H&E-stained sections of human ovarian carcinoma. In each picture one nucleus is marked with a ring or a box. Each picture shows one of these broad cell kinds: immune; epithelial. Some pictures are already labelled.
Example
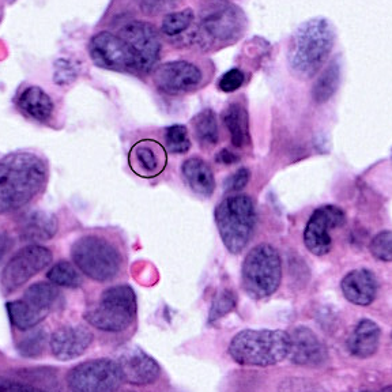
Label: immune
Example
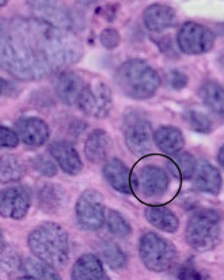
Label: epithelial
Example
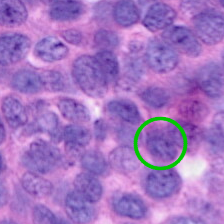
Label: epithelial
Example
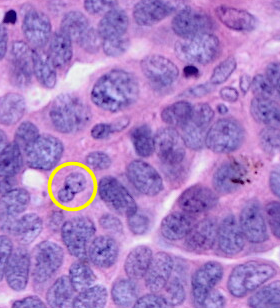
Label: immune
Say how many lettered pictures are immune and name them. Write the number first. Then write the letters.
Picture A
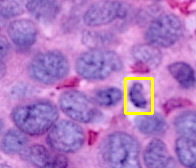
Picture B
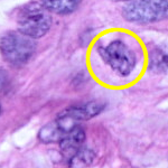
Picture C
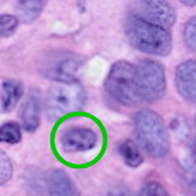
Count: 3 (A, B, C)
